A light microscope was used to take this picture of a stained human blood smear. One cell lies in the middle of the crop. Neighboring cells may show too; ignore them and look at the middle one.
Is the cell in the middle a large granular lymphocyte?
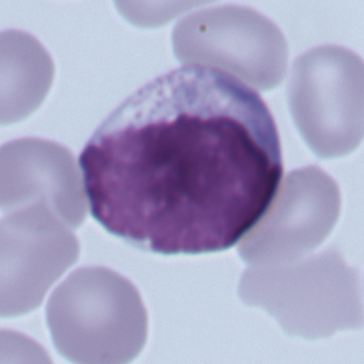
yes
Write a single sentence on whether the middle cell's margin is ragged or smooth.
No projections interrupt the outline; it is smooth all the way round.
